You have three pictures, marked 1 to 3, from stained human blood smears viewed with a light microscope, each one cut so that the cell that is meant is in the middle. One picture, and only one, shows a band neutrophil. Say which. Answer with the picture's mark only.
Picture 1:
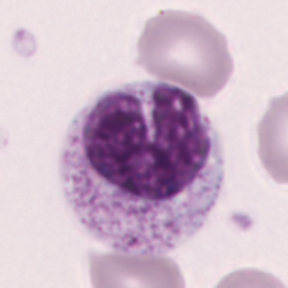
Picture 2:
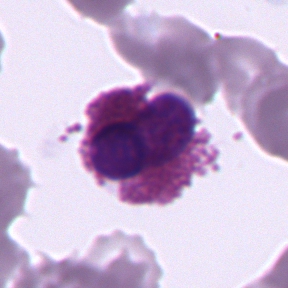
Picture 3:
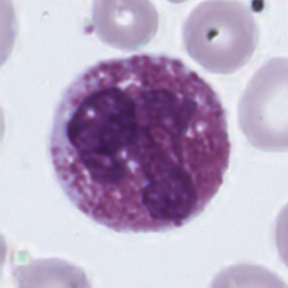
1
